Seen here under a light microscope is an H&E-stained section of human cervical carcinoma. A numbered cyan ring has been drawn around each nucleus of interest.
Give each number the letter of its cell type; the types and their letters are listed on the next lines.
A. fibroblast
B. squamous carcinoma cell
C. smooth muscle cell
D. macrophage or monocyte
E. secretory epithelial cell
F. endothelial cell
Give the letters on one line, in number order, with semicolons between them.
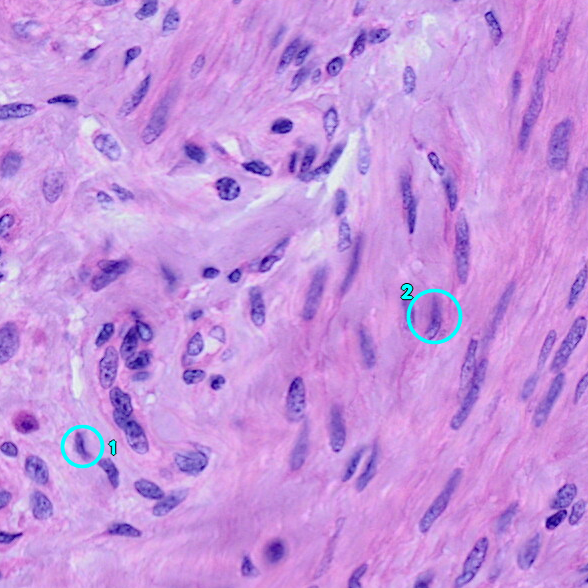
A; C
